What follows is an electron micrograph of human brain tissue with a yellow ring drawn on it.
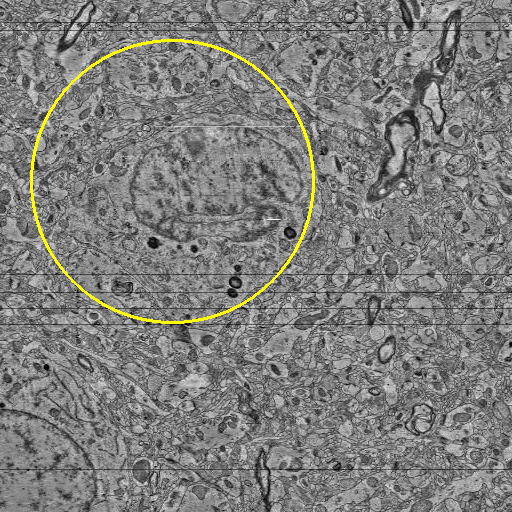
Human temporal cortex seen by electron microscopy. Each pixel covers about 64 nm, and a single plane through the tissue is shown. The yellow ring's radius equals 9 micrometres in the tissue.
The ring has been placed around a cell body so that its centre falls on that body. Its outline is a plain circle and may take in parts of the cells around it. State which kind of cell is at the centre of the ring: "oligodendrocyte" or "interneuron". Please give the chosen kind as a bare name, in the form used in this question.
interneuron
